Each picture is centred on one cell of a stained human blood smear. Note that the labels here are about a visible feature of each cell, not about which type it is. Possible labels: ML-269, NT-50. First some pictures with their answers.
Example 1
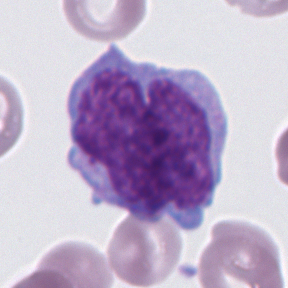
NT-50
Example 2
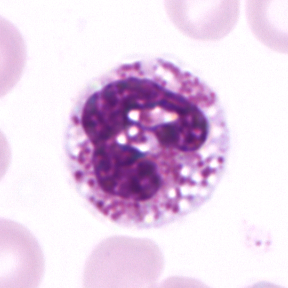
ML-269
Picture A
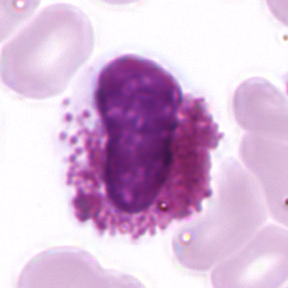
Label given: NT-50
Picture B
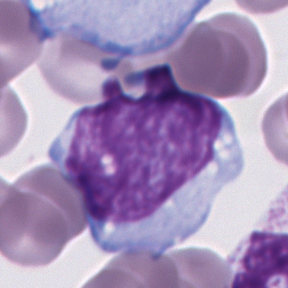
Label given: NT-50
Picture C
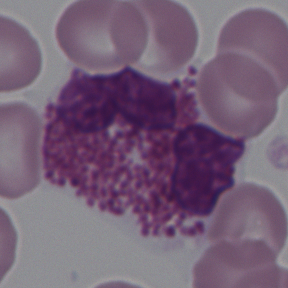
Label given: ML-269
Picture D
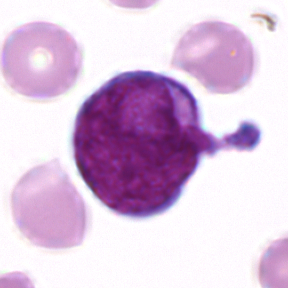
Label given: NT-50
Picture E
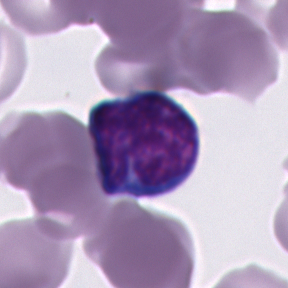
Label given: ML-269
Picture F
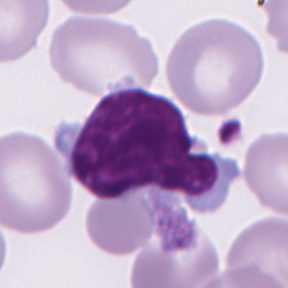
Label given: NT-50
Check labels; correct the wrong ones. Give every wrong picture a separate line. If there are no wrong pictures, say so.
C: not ML-269 but NT-50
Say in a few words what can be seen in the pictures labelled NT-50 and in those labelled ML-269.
Seen in NT-50: ragged outline or projections; seen in ML-269: smooth outline.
